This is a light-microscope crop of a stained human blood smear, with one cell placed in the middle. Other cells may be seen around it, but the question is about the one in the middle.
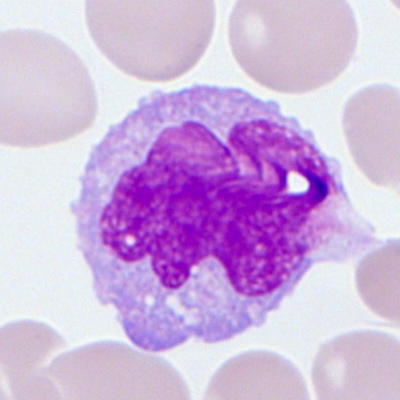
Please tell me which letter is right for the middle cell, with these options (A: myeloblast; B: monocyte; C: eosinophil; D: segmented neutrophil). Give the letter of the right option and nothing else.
B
